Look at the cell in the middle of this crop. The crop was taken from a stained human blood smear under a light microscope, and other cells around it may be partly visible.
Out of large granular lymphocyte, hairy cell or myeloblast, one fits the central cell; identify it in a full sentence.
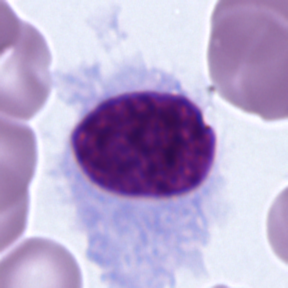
The central cell shown in this smear crop is a hairy cell.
